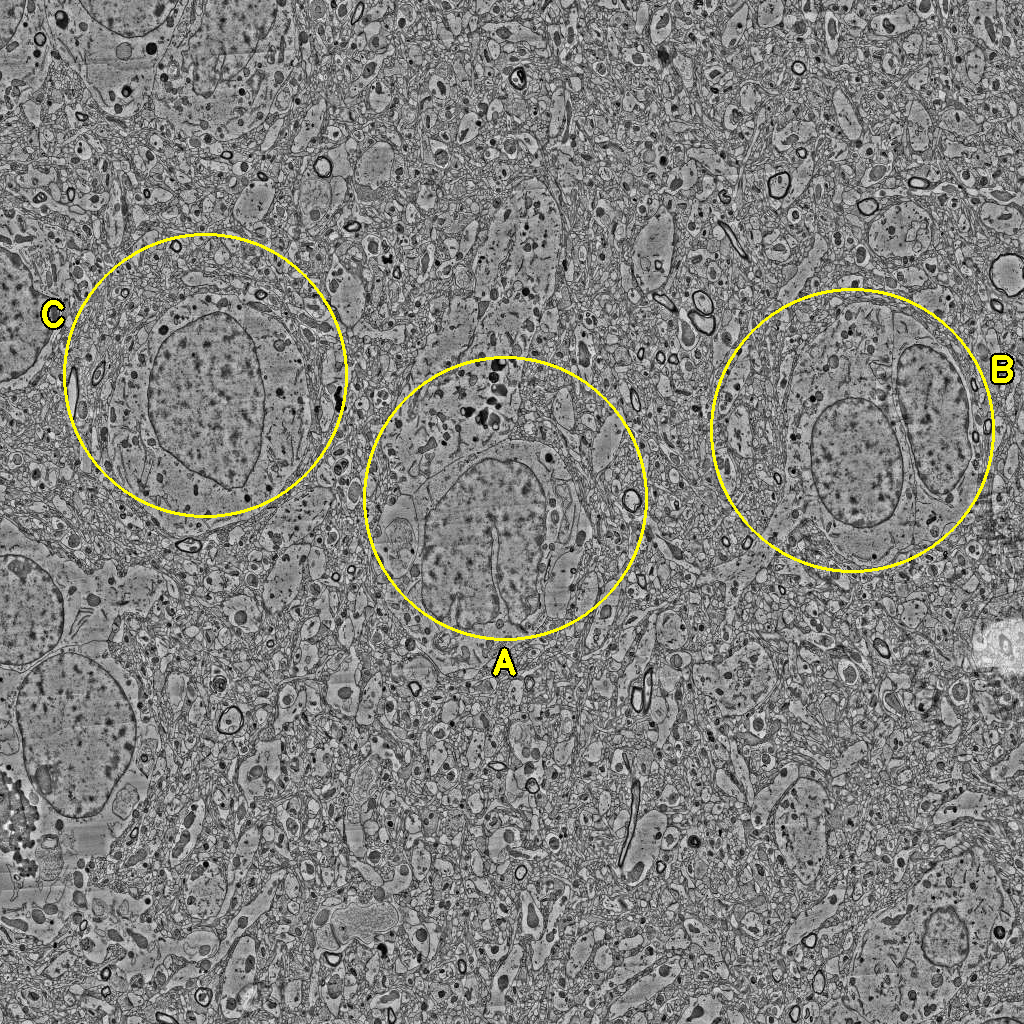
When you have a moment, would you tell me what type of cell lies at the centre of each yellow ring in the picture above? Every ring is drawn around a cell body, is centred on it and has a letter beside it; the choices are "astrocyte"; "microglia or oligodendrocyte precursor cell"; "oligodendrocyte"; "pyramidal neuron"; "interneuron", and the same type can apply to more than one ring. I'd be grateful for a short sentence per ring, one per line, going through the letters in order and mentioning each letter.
The cell at the centre of ring A is an interneuron.
The cell at the centre of ring B is a pyramidal neuron.
The cell at the centre of ring C is a pyramidal neuron.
